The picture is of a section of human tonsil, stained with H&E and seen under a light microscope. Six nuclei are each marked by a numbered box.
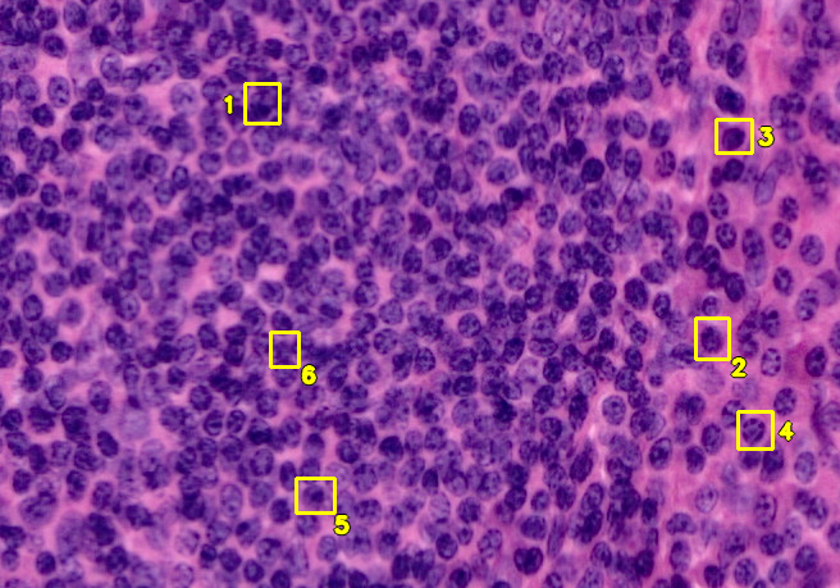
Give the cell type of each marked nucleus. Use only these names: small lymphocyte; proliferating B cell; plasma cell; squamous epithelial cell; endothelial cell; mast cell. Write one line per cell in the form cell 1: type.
cell 1: small lymphocyte
cell 2: plasma cell
cell 3: plasma cell
cell 4: plasma cell
cell 5: small lymphocyte
cell 6: small lymphocyte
